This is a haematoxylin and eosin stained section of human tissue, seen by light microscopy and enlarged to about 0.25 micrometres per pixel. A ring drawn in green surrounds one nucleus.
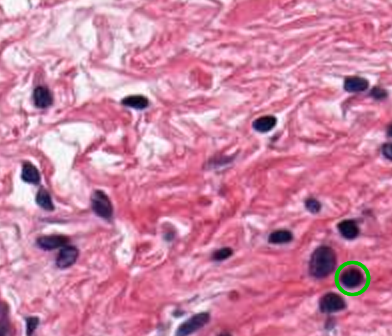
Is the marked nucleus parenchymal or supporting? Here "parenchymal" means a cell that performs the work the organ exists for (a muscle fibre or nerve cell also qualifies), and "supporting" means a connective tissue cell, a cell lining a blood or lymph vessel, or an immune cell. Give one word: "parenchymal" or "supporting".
supporting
